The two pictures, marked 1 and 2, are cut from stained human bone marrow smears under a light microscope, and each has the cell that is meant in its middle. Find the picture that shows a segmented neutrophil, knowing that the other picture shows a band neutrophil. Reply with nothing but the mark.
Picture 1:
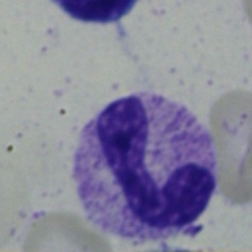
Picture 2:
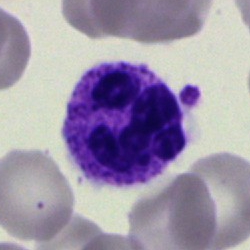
2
